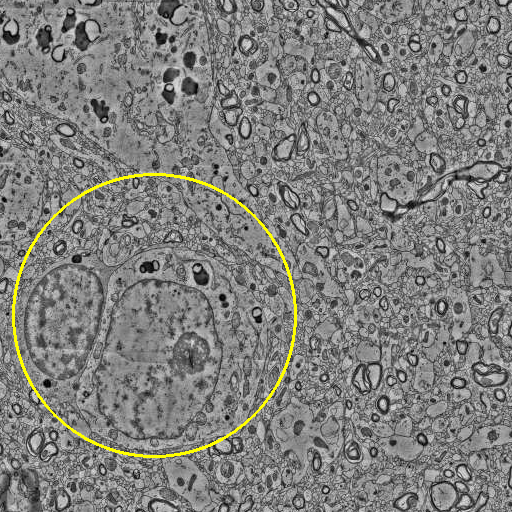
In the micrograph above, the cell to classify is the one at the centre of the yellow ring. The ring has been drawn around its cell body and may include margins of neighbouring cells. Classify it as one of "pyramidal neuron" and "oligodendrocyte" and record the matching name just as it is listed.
pyramidal neuron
